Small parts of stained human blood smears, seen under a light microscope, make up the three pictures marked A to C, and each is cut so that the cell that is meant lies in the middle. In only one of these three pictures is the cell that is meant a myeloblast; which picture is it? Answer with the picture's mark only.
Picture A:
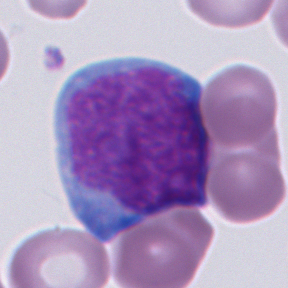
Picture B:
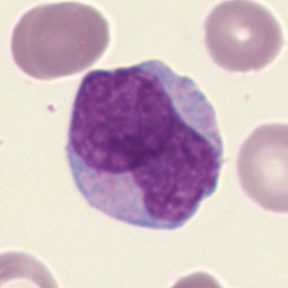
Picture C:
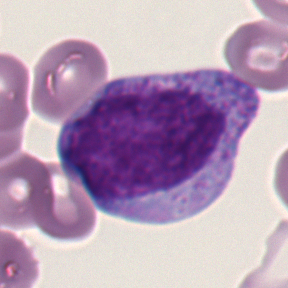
A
